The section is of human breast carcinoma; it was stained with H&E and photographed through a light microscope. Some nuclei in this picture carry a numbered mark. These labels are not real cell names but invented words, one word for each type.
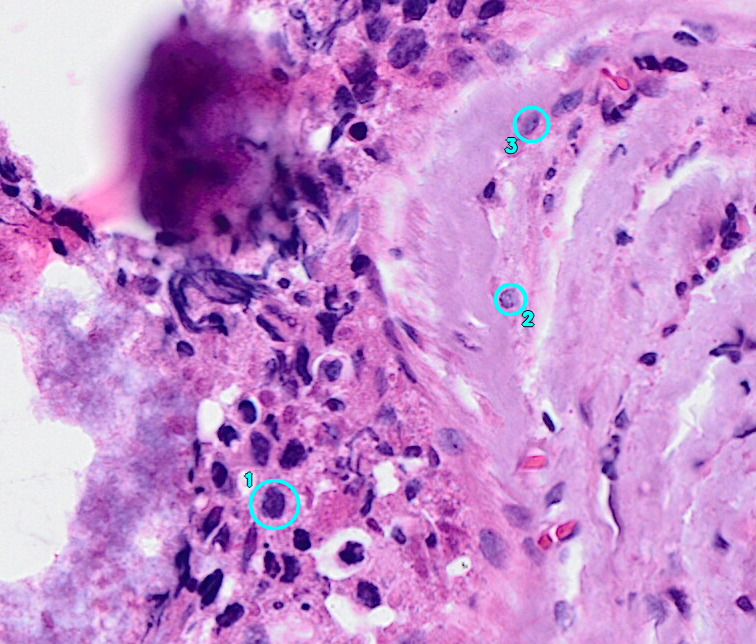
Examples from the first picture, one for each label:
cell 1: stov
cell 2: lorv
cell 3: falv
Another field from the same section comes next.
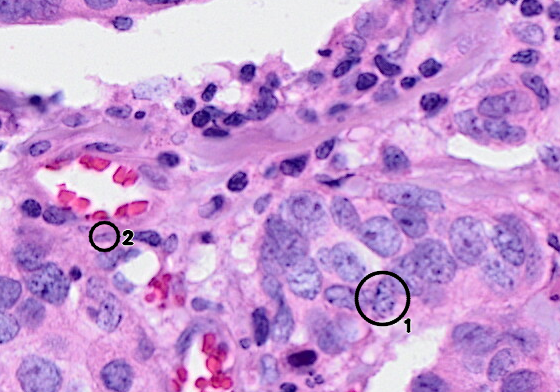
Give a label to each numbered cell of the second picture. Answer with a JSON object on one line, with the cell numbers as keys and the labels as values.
{"1": "stov", "2": "falv"}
